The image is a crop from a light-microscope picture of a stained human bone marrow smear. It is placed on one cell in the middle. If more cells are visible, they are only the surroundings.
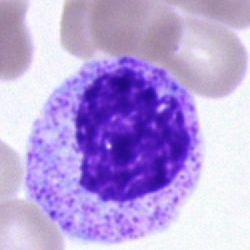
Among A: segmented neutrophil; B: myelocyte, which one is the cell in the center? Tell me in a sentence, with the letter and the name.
The cell placed in the middle is a myelocyte; option B is correct.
